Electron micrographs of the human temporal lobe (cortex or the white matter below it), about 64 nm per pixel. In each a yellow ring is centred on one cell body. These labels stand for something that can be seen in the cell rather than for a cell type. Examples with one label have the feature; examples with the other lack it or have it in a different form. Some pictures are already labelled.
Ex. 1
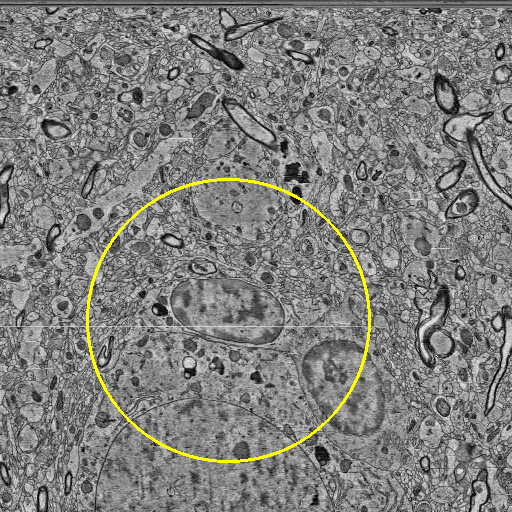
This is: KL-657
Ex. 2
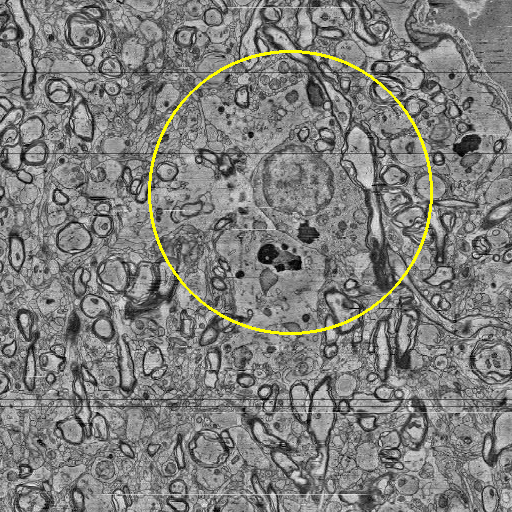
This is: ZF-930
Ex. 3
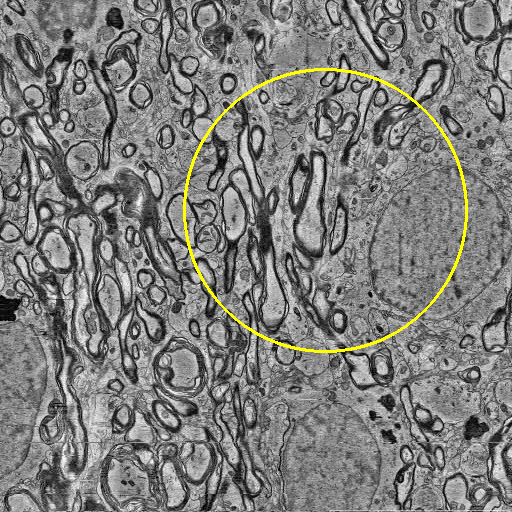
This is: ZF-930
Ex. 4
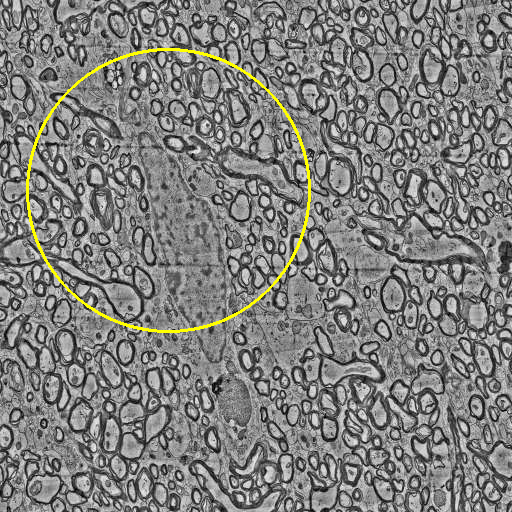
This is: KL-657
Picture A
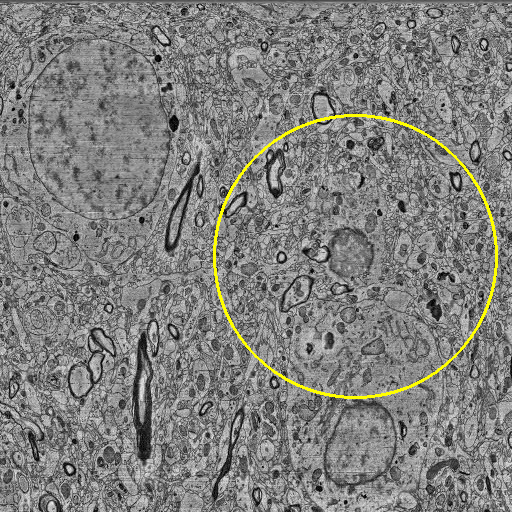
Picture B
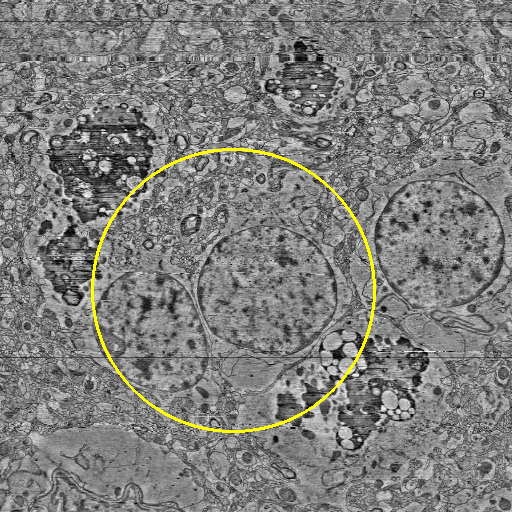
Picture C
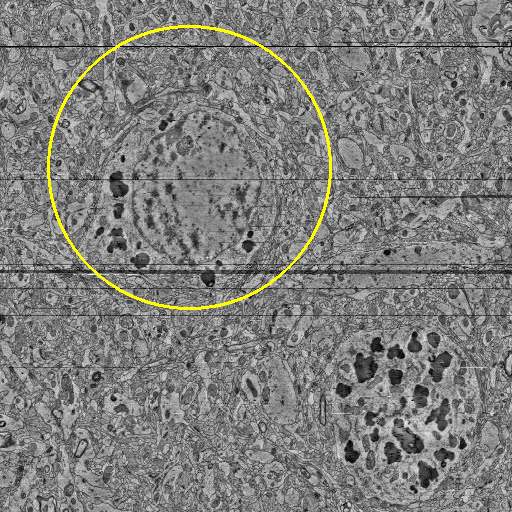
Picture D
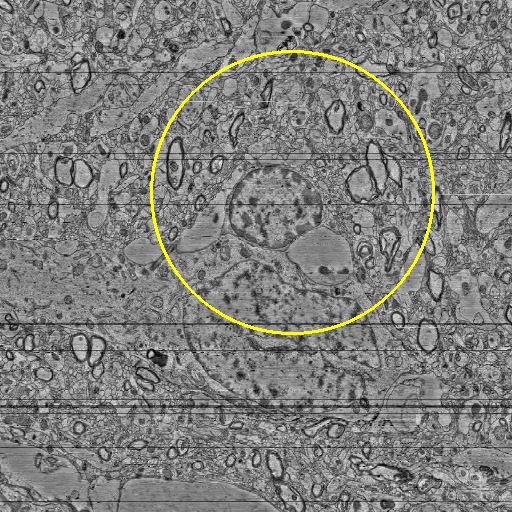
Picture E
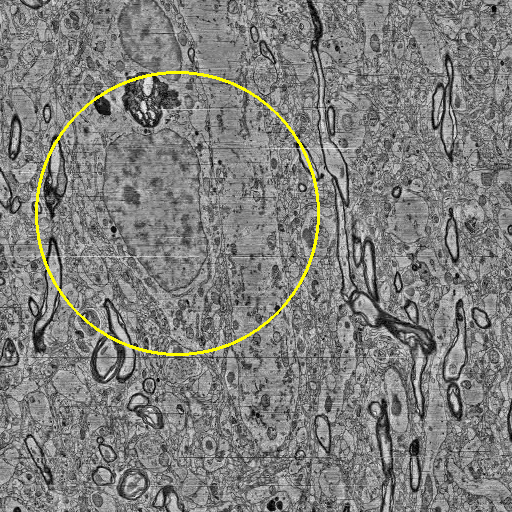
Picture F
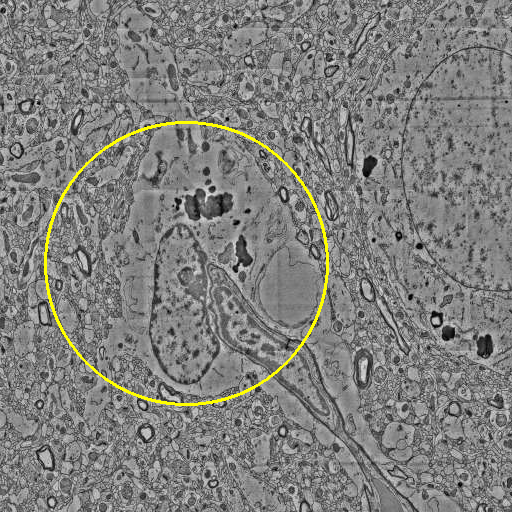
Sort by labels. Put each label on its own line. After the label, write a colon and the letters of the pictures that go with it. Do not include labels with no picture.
KL-657: E, F
ZF-930: A, B, C, D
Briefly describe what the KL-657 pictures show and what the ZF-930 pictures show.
In KL-657: clearly elongated nuclei. In ZF-930: round or nearly round nuclei.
